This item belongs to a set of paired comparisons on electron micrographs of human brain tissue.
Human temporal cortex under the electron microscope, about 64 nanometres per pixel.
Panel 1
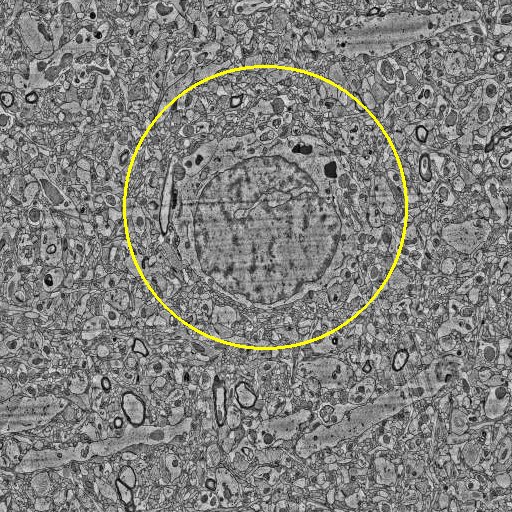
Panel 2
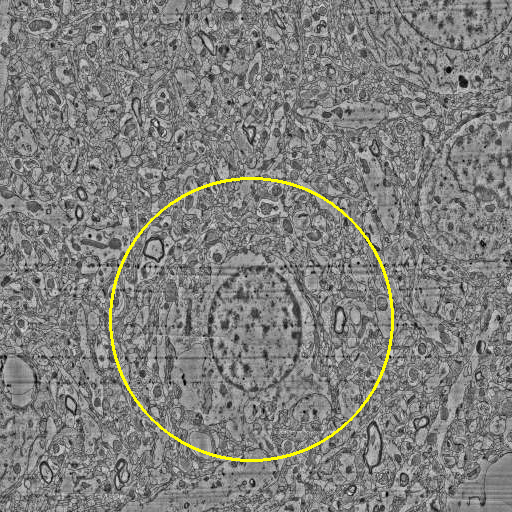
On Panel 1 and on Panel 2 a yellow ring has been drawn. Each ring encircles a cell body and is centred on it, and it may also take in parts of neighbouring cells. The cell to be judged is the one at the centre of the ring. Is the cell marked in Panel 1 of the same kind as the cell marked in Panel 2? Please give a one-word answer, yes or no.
no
